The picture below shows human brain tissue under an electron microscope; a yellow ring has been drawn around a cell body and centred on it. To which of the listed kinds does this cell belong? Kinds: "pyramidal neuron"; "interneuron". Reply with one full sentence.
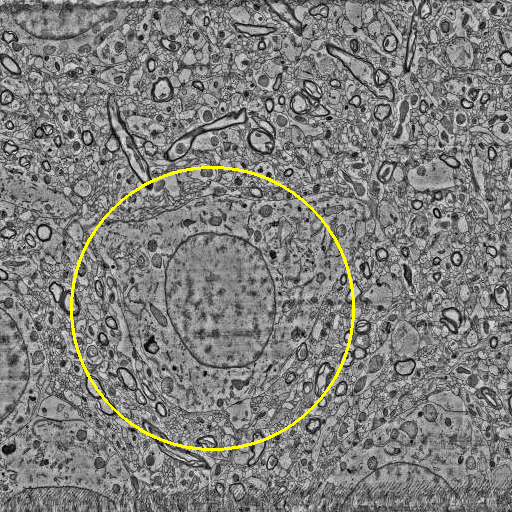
It is a pyramidal neuron that the yellow ring in the picture is centred on.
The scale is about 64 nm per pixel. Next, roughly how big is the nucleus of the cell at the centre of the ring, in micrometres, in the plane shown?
The nucleus of the ringed cell is approximately 9 by 7 micrometres in this plane.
